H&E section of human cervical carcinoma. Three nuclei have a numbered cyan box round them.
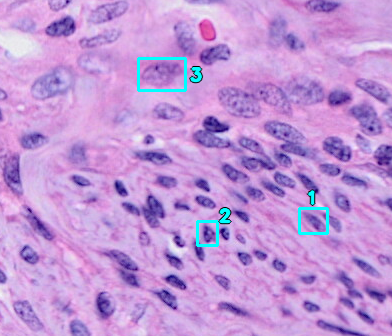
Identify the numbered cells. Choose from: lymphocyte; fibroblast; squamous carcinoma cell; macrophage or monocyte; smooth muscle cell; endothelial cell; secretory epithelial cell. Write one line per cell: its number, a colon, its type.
1: smooth muscle cell
2: fibroblast
3: endothelial cell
